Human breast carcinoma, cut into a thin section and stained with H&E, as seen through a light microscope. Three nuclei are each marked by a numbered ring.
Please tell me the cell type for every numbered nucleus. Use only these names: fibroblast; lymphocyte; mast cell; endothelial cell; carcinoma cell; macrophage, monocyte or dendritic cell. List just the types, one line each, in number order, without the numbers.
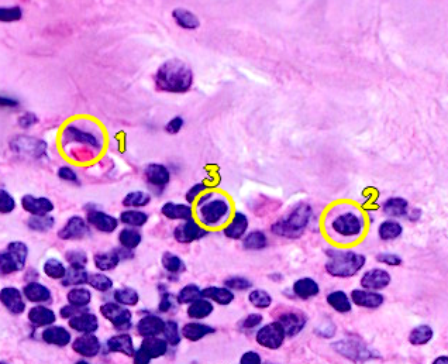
endothelial cell
lymphocyte
lymphocyte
